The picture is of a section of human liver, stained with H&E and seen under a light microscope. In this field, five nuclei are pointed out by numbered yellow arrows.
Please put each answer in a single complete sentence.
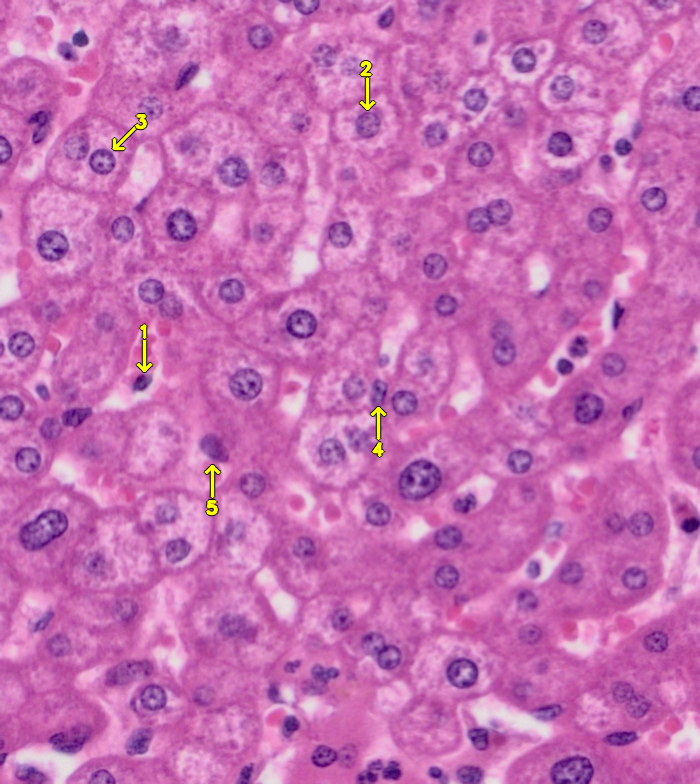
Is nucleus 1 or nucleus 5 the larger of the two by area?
At about 2 times the area of nucleus 1, nucleus 5 is the larger of the two.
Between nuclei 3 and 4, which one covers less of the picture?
The smaller nucleus is 4, and 3 covers roughly 1.5 times its area.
